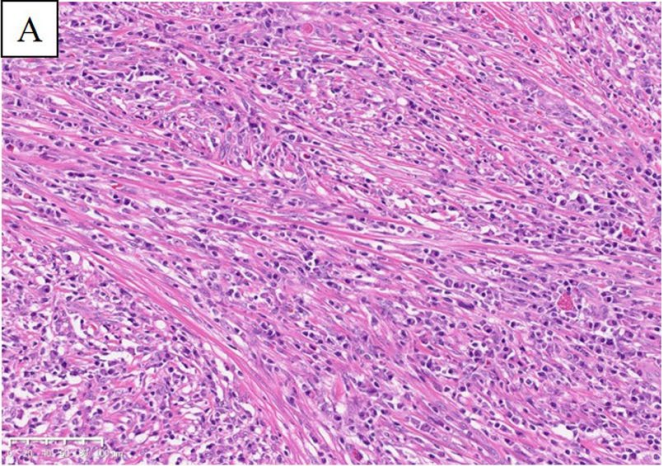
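This is a spindle cell tumor in which elongated cells with oval to cigar-shaped purple nuclei and pale pink cytoplasm are packed closely together. They run in long, sweeping fascicles that cross one another, separated by wavy strands of pink collagen, with a small blood vessel containing red cells seen near the right edge.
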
